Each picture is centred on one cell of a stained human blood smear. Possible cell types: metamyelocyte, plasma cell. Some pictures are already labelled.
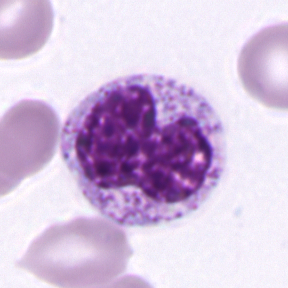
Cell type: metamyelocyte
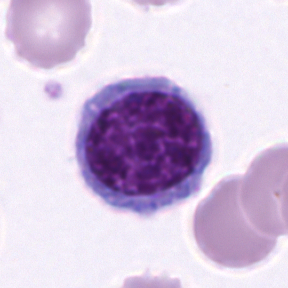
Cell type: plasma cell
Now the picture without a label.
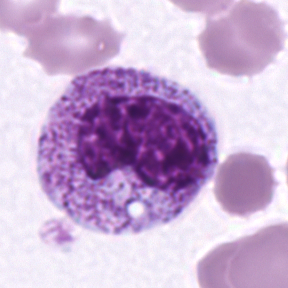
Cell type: metamyelocyte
